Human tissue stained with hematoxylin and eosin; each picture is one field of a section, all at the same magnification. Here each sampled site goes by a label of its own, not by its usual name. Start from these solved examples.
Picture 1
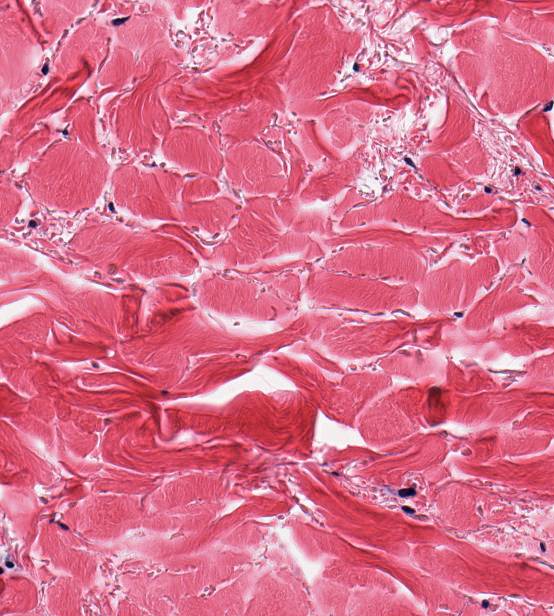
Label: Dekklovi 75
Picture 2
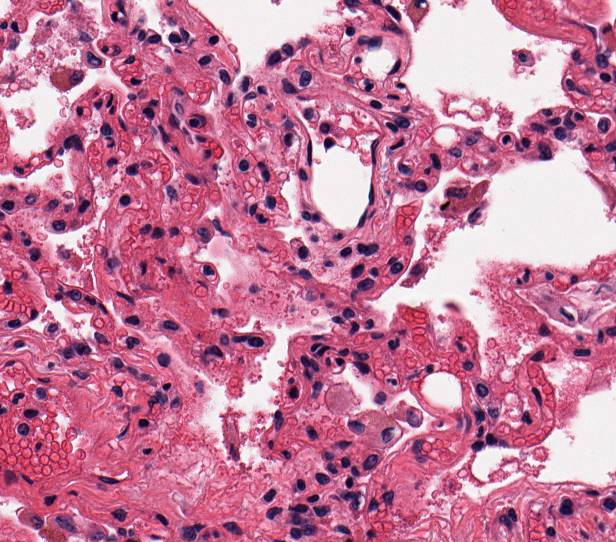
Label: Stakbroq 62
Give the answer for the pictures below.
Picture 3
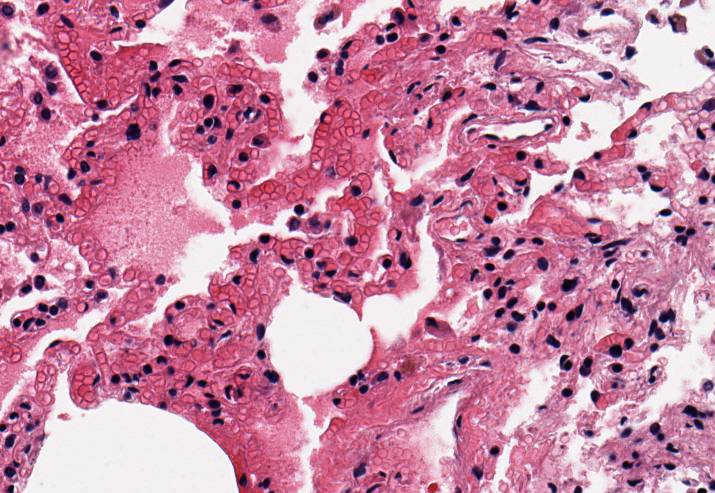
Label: Stakbroq 62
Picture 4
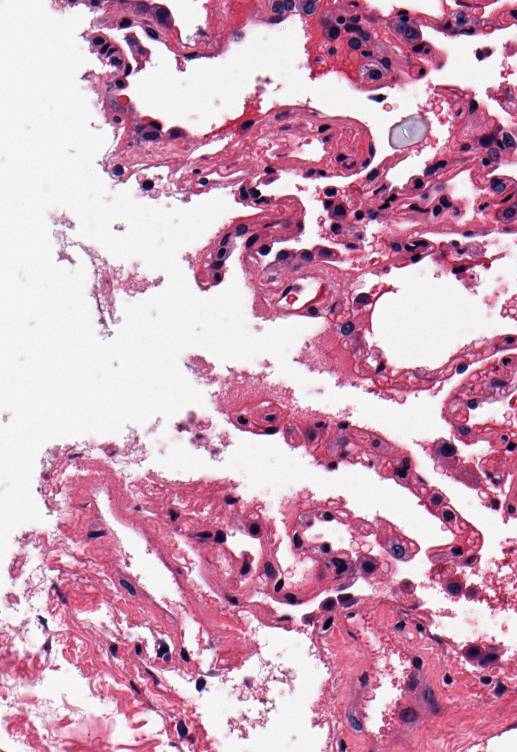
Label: Stakbroq 62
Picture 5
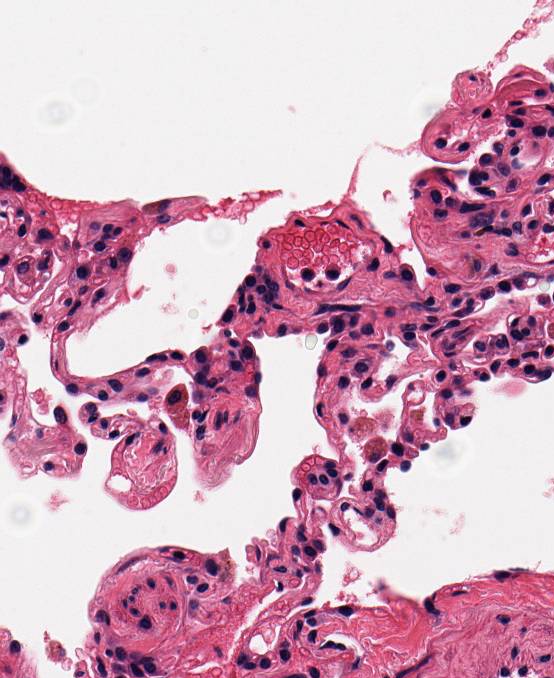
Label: Stakbroq 62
